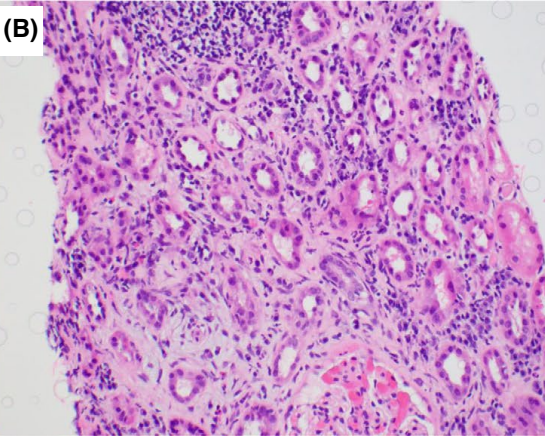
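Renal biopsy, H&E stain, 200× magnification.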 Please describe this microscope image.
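This is kidney cortex at medium power, where round cross-sections of tubules sit in a widened interstitium. The tubules are small and lined by pink cuboidal cells around open lumens, and they are spaced apart by pale, fibrous pink tissue. Many small dark nuclei of inflammatory cells gather between the tubules, most densely near the top of the core. A glomerulus with red blood cells can be seen at the bottom edge.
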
